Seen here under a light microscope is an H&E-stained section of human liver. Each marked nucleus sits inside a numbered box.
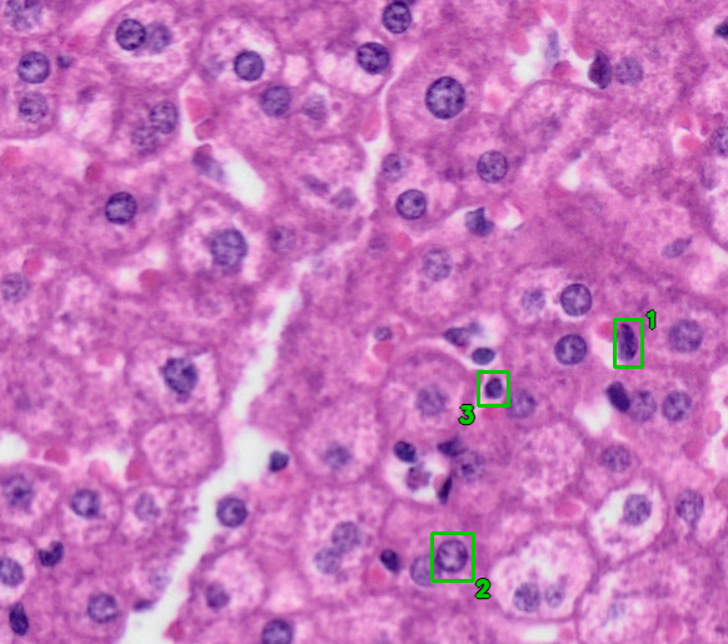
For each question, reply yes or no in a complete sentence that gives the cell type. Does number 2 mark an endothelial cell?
No, a hepatocyte is what cell 2 is, not an endothelial cell.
